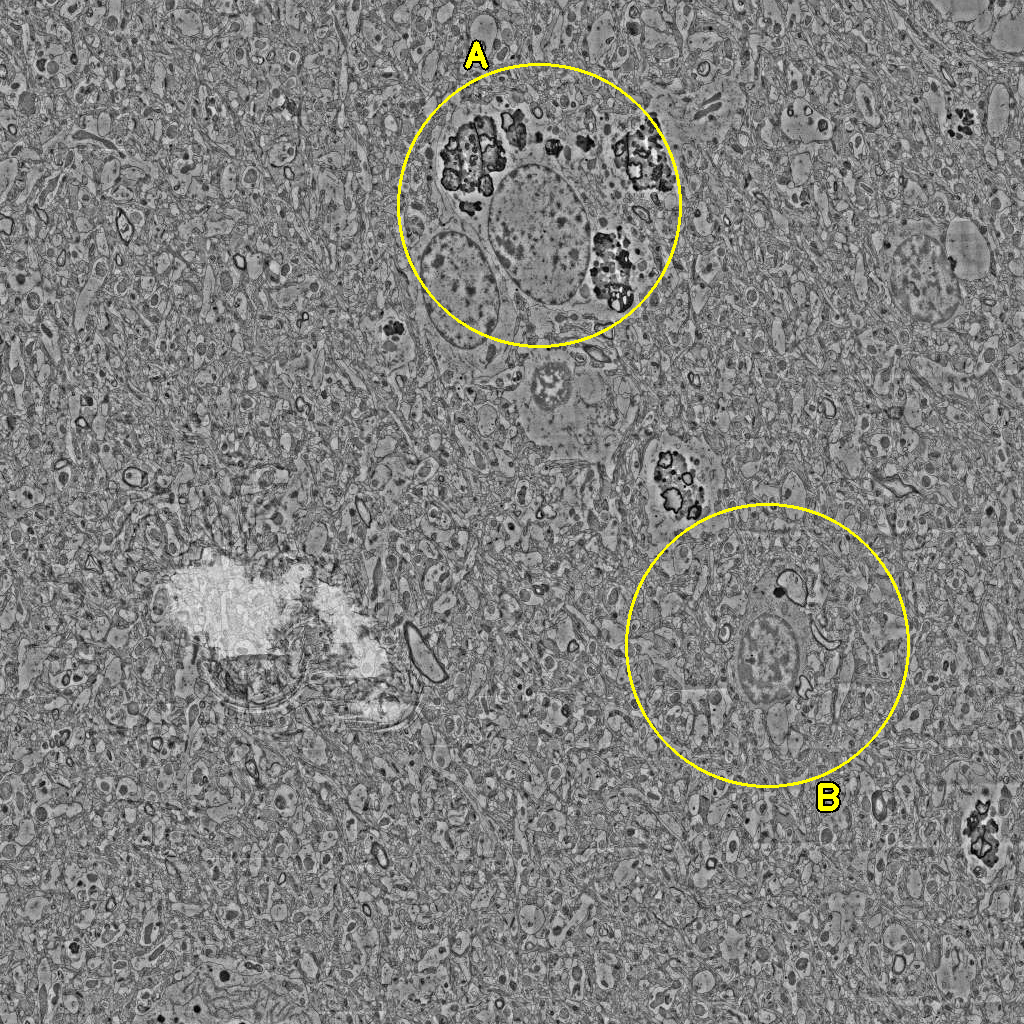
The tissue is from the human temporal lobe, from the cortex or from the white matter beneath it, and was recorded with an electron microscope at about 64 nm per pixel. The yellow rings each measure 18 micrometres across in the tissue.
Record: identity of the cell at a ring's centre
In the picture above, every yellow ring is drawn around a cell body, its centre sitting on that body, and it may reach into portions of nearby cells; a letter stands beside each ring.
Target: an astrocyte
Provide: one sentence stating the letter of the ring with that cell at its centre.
The letter of the ring centred on a cell of that kind is A.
